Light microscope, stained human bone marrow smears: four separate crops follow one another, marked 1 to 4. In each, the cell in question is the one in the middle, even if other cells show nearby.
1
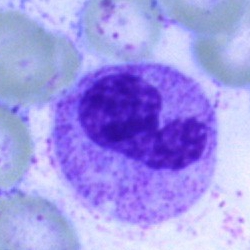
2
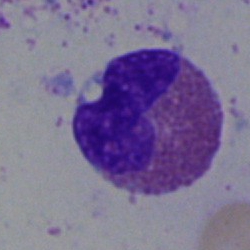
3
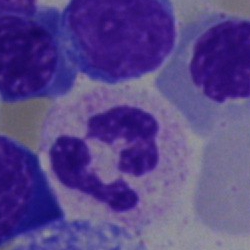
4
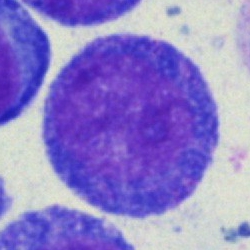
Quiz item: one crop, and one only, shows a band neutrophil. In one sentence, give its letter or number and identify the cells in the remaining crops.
While crop 2 is an eosinophil, crop 3 is a segmented neutrophil and crop 4 is a promyelocyte, crop 1 shows a band neutrophil.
